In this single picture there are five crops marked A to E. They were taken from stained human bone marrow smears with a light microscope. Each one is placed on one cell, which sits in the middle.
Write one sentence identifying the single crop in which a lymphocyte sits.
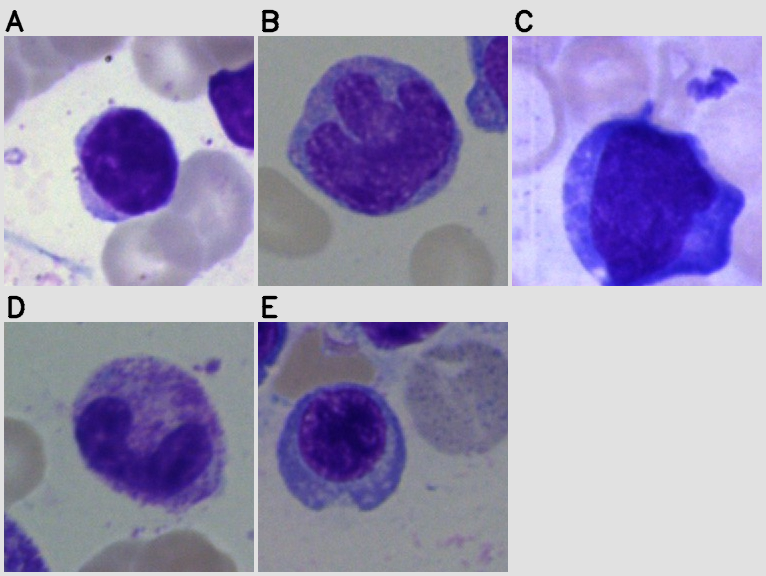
It is in crop A that a lymphocyte is shown.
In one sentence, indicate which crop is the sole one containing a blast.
So the crop with a blast at its center is crop C.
